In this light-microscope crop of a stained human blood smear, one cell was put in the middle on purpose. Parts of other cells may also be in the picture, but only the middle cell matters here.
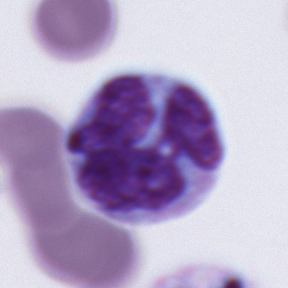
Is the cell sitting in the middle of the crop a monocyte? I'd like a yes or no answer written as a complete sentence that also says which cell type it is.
Yes, the cell at the crop's center is a monocyte.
